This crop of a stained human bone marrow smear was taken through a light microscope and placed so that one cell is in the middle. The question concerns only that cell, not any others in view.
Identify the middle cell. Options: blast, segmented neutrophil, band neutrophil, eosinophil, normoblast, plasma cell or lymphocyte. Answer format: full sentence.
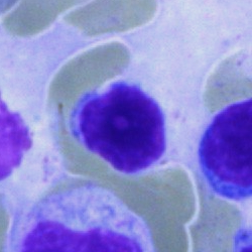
Standing at the centre of this crop is a lymphocyte.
